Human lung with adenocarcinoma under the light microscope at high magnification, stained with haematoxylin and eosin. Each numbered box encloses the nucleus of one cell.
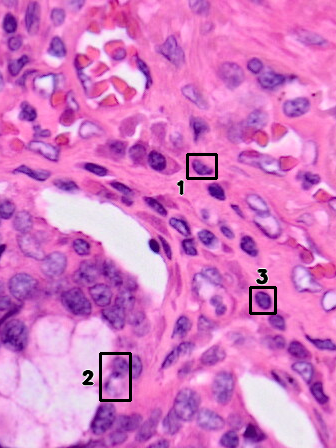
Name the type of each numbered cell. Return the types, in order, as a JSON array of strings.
["mast cell", "ciliated epithelial cell", "mast cell"]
